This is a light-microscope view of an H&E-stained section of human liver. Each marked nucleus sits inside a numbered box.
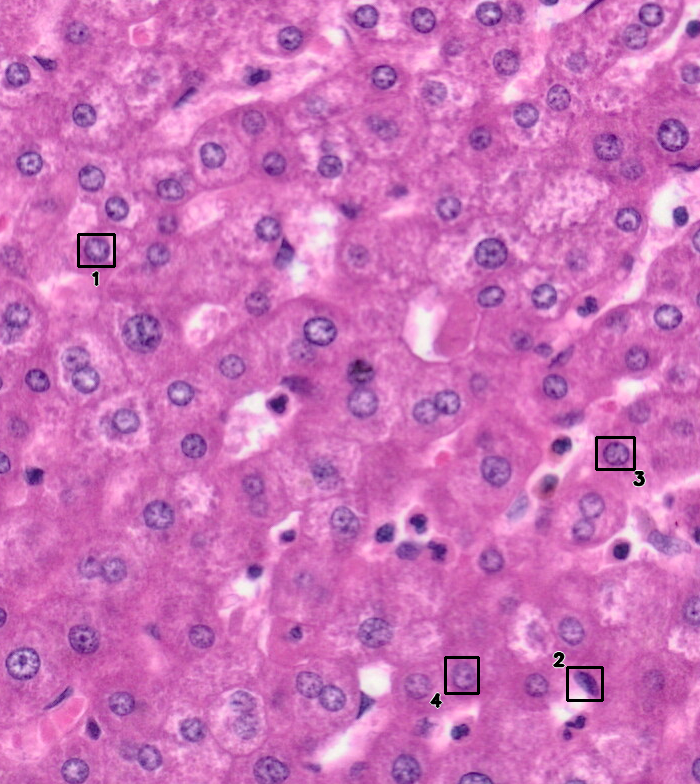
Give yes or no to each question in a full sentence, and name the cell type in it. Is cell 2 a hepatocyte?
No, calling cell 2 a hepatocyte is incorrect; it is a fibroblast or stellate cell.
